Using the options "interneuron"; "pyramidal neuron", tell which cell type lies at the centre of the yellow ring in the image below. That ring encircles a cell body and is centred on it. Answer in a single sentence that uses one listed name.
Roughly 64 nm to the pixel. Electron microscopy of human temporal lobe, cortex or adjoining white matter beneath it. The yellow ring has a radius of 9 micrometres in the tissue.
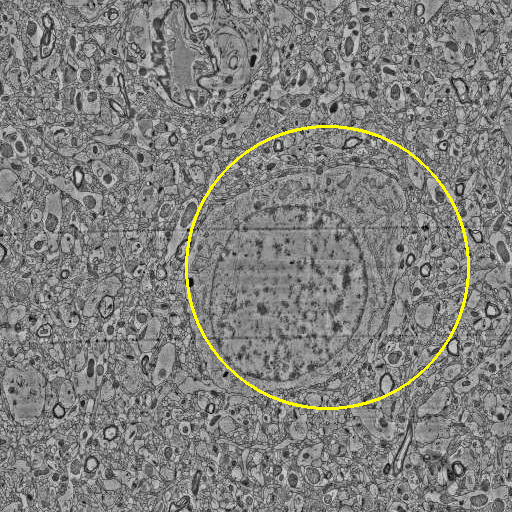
At the centre of the yellow ring lies the body of an interneuron.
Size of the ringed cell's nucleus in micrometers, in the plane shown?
Approximately 12 micrometres long and 10 micrometres wide, in this plane.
